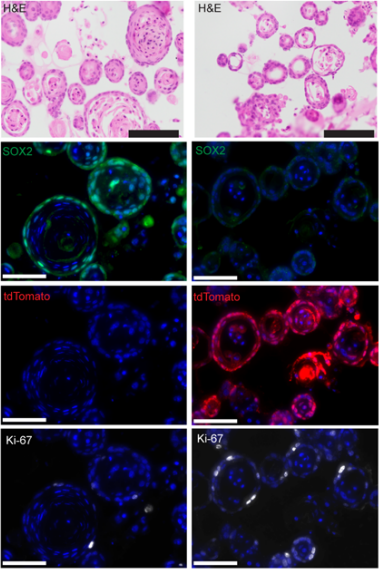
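Sections of squamous organoids appear as rounded, cyst-like epithelial spheres with walls several cell layers thick, shown in a pink-purple stain and in several fluorescence images with blue nuclei. In the stained sections, the spheres in the left column are larger and several are filled with concentric layers of pink material, while those in the right column are smaller, with thinner walls and more open centres.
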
